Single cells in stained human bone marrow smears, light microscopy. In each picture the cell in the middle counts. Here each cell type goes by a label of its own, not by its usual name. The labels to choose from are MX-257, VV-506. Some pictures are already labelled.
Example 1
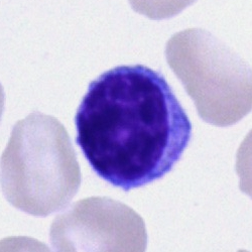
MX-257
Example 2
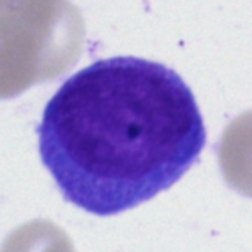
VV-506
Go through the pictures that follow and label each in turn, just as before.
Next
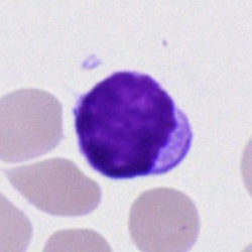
MX-257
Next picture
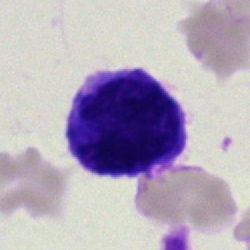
VV-506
